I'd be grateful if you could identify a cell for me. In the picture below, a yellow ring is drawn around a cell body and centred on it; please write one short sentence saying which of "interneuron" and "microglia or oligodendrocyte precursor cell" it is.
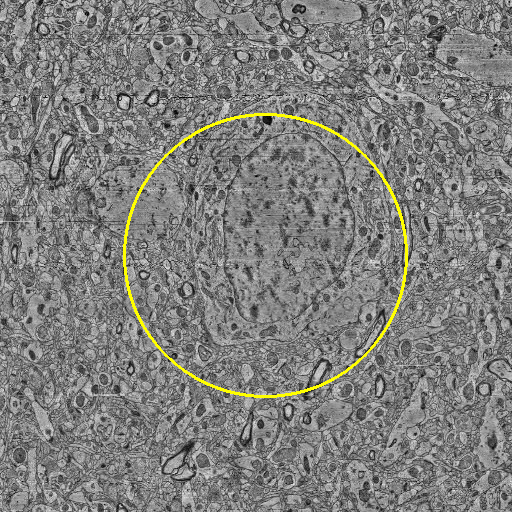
The cell under the ring's centre is an interneuron.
